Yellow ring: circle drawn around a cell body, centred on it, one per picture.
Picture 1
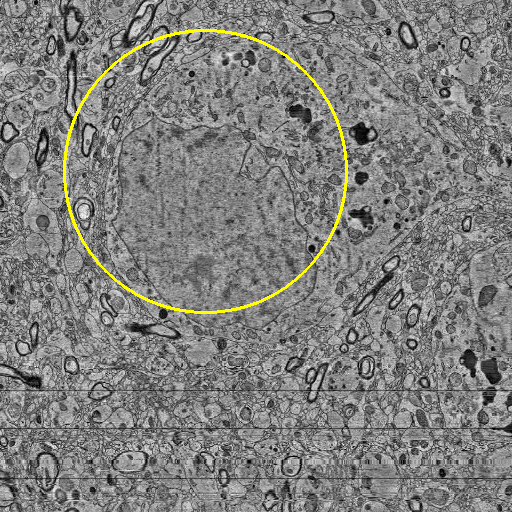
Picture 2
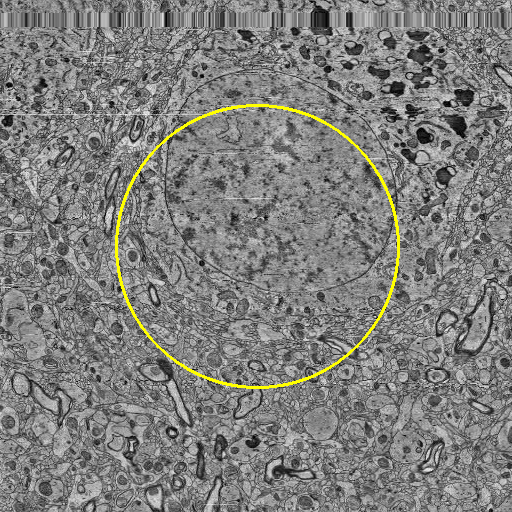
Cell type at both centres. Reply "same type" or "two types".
same type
